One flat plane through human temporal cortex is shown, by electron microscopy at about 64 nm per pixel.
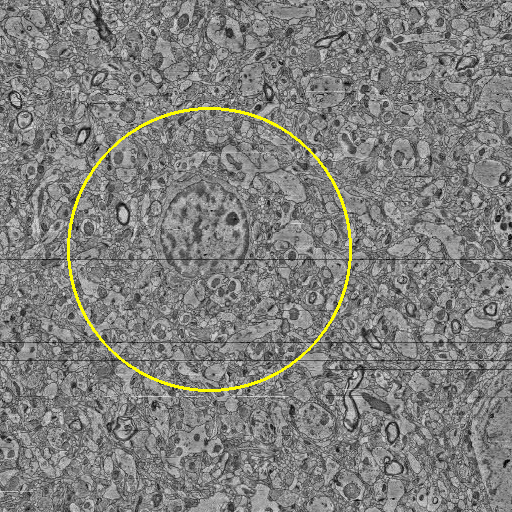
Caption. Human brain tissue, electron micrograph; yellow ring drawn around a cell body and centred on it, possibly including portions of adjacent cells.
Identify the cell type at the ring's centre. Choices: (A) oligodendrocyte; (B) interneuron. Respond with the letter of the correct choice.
A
